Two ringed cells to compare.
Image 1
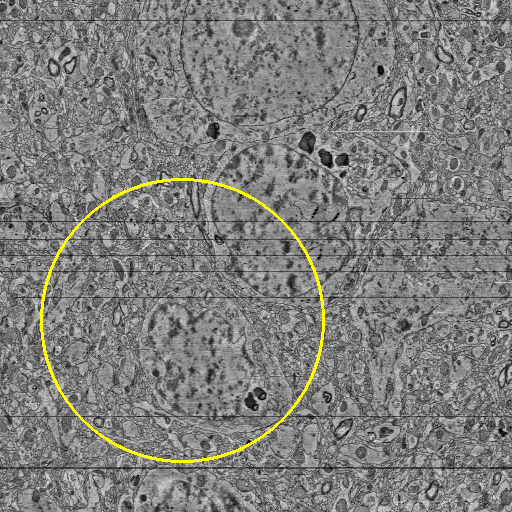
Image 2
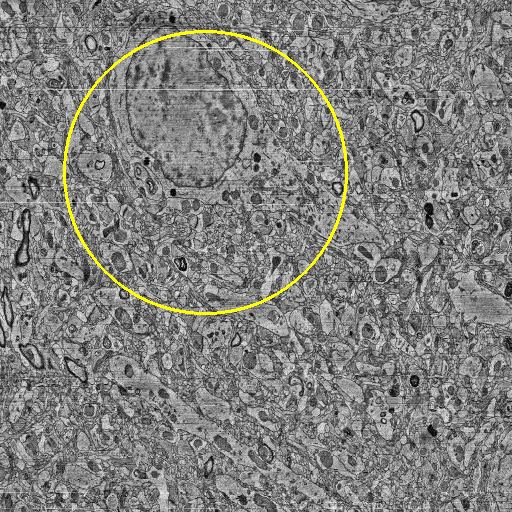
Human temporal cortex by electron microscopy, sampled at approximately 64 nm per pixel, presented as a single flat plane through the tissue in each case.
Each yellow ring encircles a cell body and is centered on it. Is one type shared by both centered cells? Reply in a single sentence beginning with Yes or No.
No, two types are found among the cells at the centers of the rings.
